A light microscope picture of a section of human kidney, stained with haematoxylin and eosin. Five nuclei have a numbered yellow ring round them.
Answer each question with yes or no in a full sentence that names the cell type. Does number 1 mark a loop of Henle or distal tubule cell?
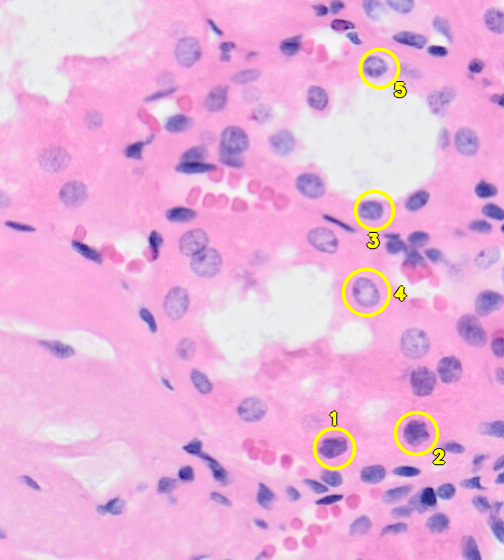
No, in terms of cell type, cell 1 is a proximal tubule cell, not a loop of Henle or distal tubule cell.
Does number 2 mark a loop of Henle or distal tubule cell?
No, cell 2 is classified as a proximal tubule cell rather than a loop of Henle or distal tubule cell.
